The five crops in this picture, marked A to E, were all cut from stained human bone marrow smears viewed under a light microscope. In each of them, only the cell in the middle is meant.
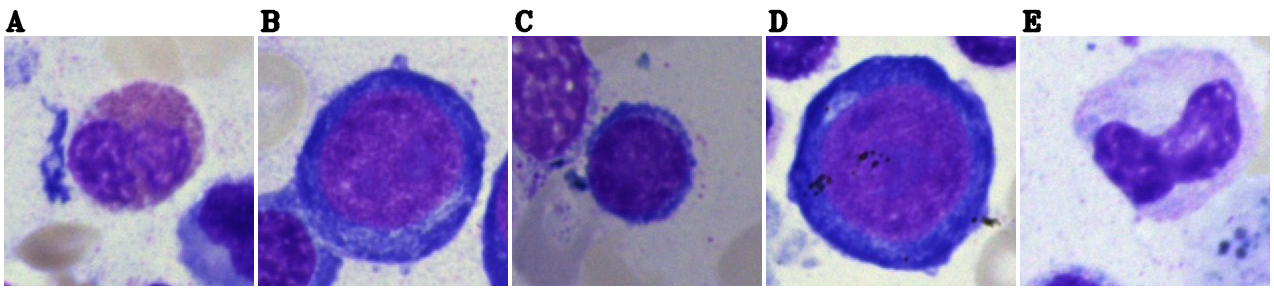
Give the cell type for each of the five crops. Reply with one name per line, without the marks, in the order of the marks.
basophil
proerythroblast
lymphocyte
proerythroblast
band neutrophil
